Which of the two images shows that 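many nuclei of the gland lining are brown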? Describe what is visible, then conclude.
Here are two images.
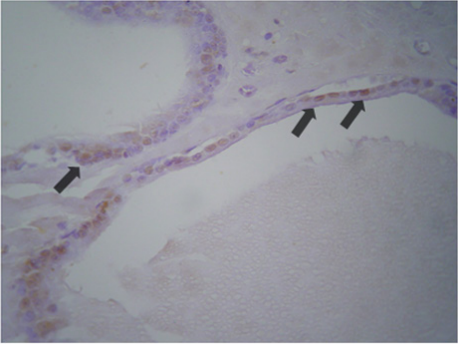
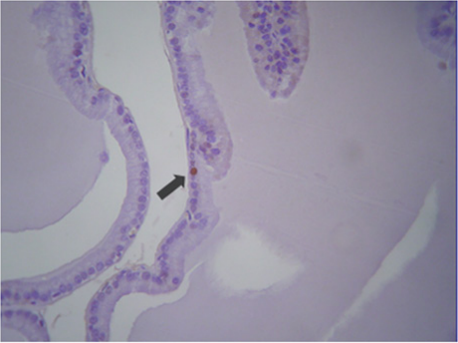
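First image: numerous brown nuclei along the epithelial lining. Second image: only a single brown nucleus among mostly blue nuclei.
Answer: the first image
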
